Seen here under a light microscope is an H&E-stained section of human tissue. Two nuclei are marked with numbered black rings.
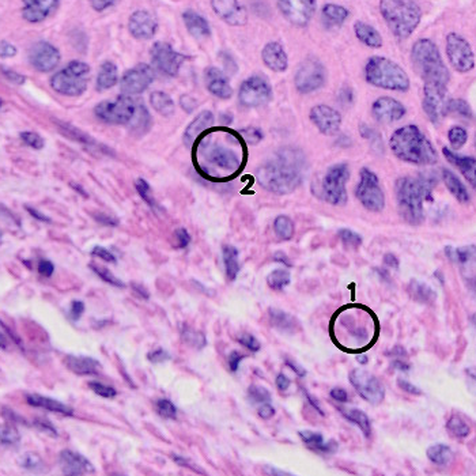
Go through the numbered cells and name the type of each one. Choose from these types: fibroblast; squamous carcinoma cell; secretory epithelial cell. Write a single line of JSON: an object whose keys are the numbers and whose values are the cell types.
{"1": "fibroblast", "2": "squamous carcinoma cell"}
